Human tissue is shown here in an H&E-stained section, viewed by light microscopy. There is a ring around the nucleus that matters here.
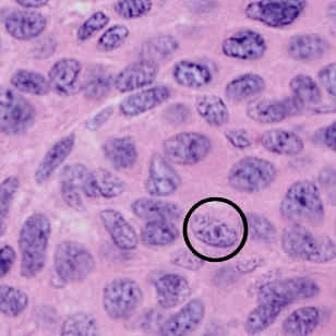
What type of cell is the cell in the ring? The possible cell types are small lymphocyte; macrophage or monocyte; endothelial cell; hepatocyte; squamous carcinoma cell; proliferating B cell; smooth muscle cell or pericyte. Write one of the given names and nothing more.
squamous carcinoma cell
